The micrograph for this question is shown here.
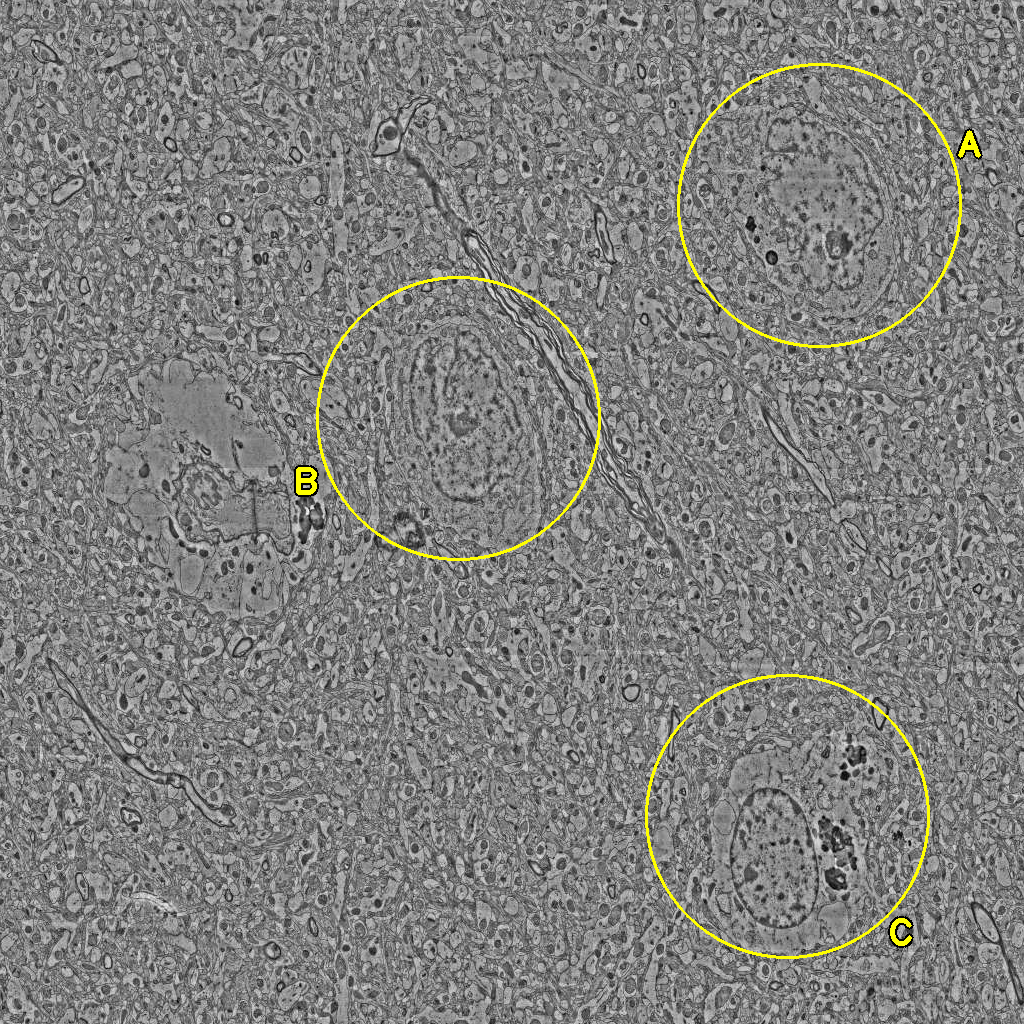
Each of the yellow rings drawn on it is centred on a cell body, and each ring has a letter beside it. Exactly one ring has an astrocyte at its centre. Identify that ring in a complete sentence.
The ring centred on it is ring C.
